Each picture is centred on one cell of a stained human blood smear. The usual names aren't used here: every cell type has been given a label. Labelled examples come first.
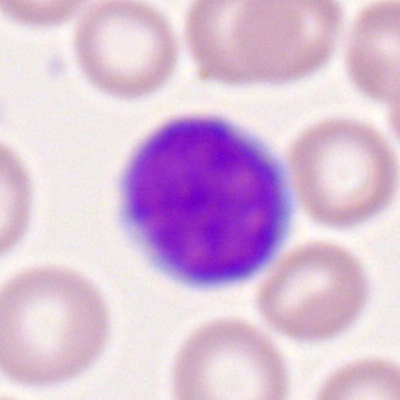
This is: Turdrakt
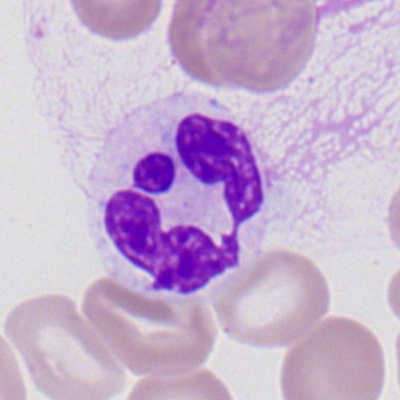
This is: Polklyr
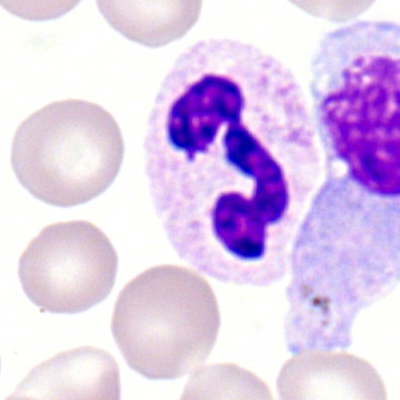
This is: Polklyr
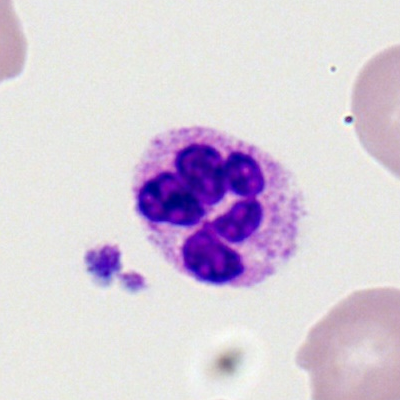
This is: Polklyr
